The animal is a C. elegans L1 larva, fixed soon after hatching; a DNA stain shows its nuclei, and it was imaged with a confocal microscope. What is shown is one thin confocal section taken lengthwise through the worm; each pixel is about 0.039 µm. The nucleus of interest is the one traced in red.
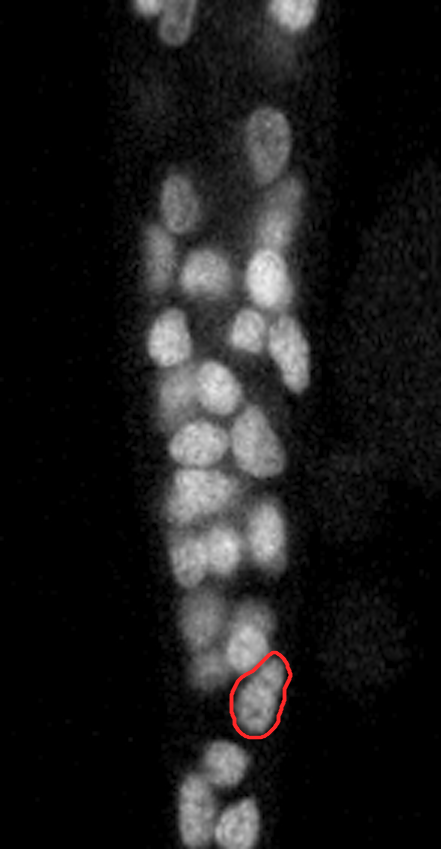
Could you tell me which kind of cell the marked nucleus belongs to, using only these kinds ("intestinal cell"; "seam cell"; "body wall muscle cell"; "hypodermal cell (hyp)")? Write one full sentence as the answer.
This nucleus is from a hypodermal cell (hyp).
